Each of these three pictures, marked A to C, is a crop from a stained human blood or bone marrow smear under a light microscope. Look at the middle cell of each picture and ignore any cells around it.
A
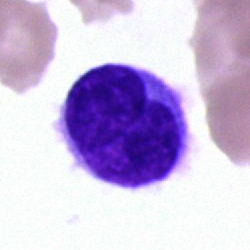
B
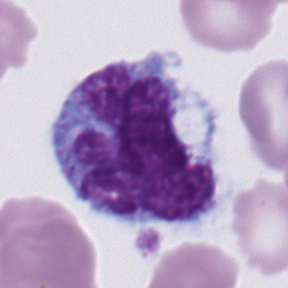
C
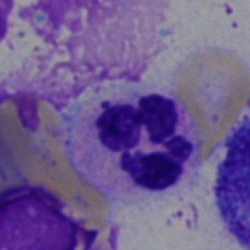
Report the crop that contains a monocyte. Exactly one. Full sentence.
Among all the crops given here, the one with a monocyte is crop B.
